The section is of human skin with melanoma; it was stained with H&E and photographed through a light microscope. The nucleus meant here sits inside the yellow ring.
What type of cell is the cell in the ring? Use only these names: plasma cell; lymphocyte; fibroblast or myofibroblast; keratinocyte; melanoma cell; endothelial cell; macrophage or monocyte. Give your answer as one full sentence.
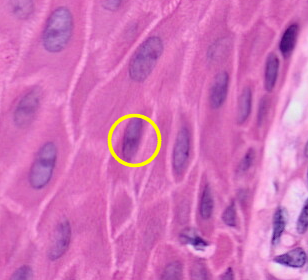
The cell meant here is a keratinocyte.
